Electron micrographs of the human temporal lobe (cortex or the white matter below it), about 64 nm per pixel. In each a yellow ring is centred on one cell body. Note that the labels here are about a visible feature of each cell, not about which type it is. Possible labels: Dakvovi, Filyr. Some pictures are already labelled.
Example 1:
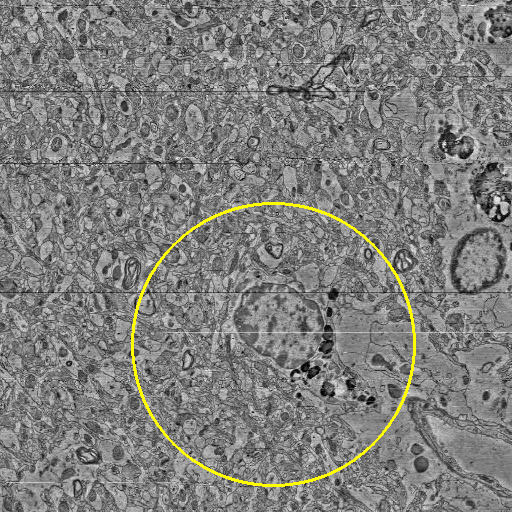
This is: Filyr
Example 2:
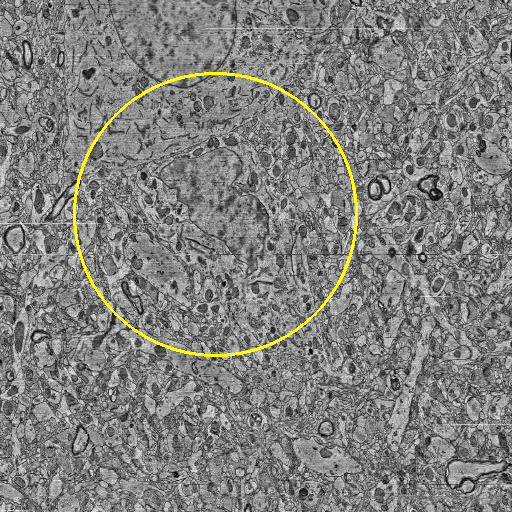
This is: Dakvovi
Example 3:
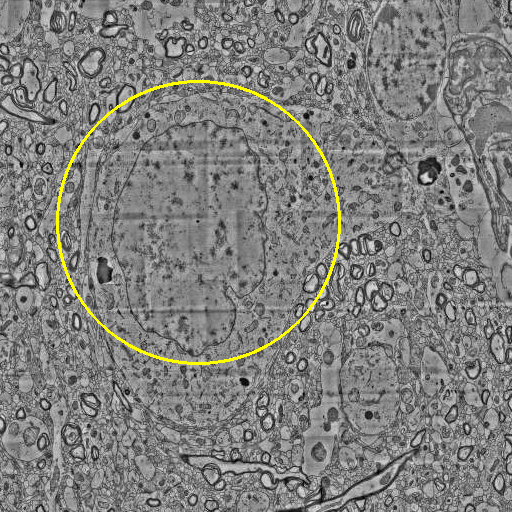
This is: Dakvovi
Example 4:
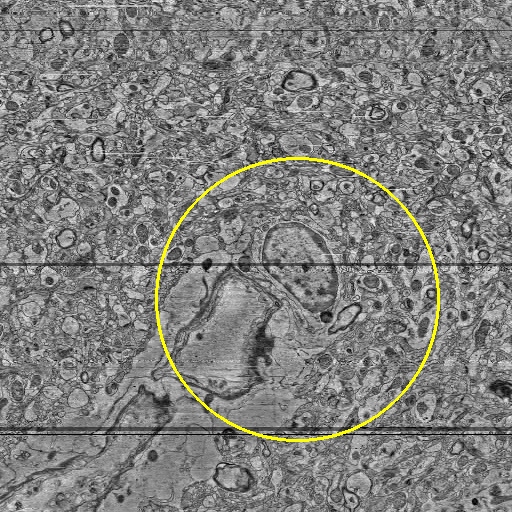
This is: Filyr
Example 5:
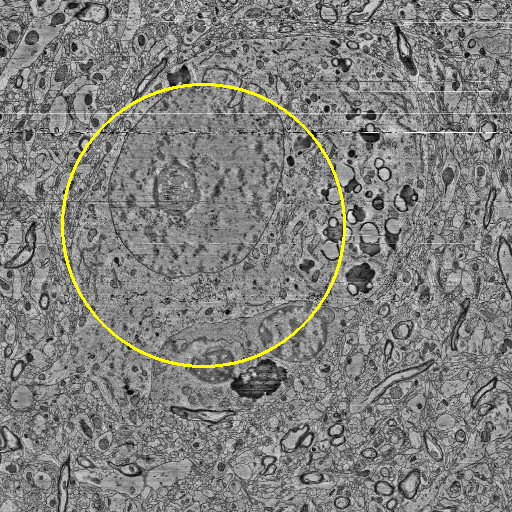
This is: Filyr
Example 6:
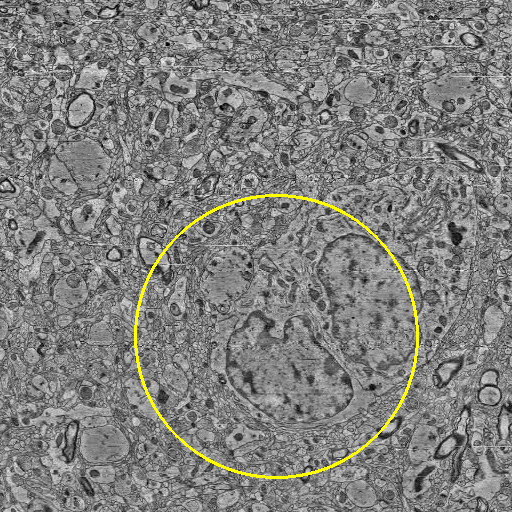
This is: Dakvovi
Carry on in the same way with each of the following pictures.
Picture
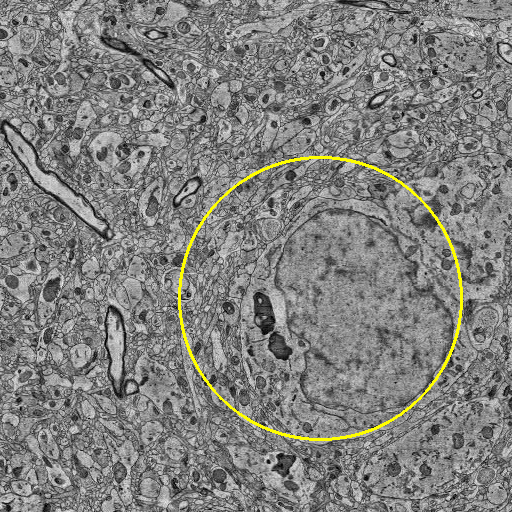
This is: Dakvovi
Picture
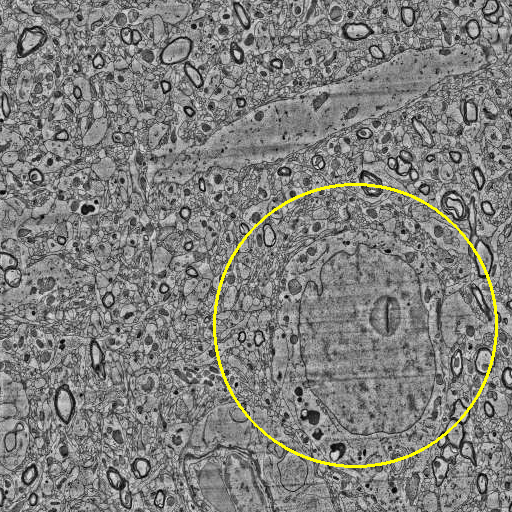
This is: Dakvovi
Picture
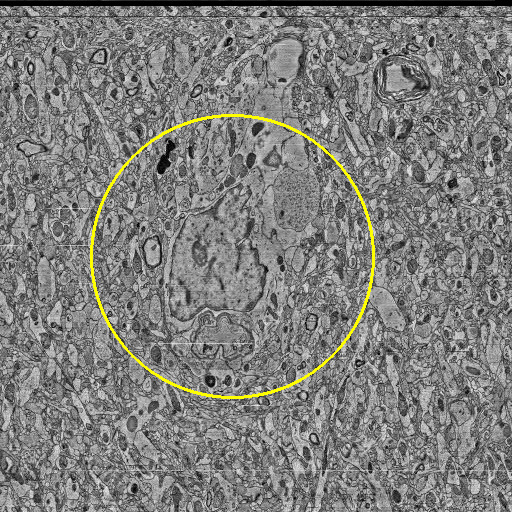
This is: Dakvovi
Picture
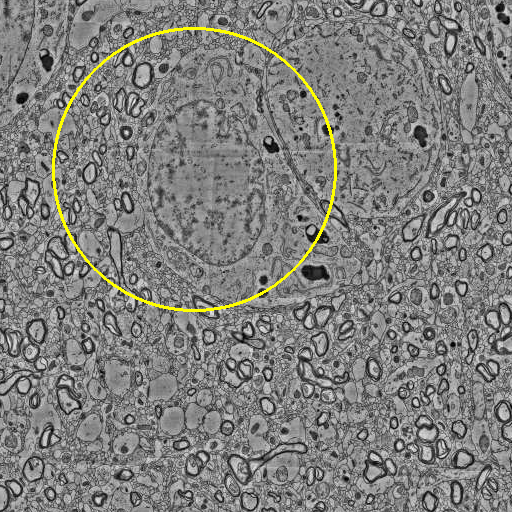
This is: Filyr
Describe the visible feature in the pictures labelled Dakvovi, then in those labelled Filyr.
Dakvovi: deeply folded or indented nuclear envelopes; Filyr: smooth nuclear envelopes without deep folds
